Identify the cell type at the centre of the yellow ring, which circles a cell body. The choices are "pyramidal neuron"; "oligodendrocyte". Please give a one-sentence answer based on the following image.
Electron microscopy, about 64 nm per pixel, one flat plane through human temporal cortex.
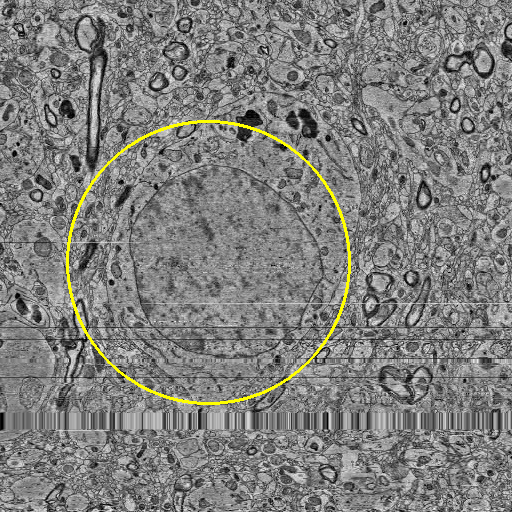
The cell marked by the ring is a pyramidal neuron.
